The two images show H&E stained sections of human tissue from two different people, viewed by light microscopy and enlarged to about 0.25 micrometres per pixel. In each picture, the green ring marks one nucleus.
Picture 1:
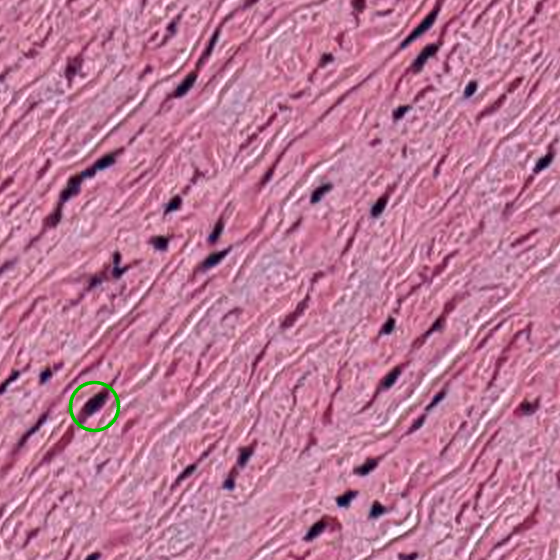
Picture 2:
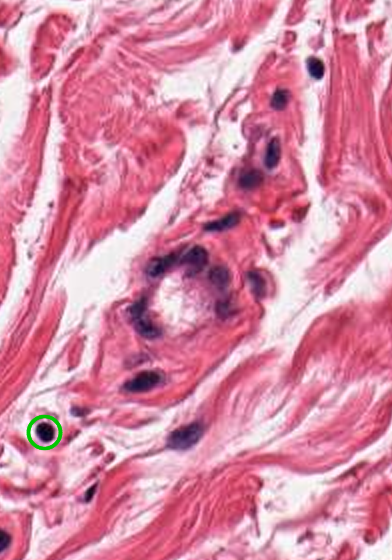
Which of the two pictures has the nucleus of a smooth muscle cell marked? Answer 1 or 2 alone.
1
